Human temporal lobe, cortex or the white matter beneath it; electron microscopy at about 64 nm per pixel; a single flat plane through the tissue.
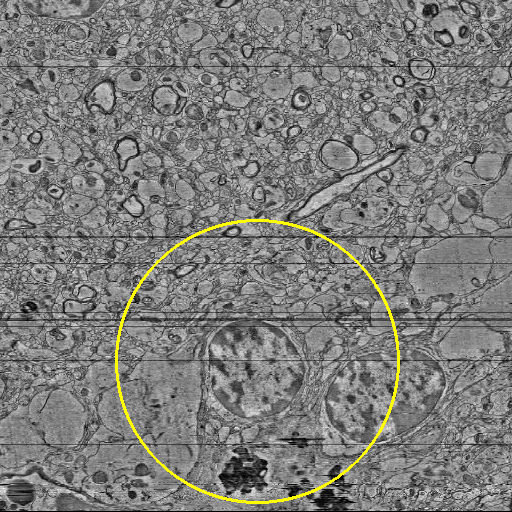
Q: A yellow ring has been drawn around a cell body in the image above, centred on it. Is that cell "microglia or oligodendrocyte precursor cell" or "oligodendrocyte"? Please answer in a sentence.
The ring surrounds the cell body of a microglial cell or oligodendrocyte precursor cell.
